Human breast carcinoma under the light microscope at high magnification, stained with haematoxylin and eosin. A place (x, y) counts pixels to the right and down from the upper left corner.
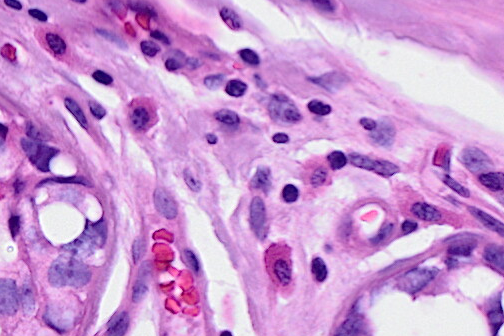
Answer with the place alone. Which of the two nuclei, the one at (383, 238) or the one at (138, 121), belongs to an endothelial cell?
(383, 238)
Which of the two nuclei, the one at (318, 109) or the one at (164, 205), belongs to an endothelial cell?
(164, 205)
